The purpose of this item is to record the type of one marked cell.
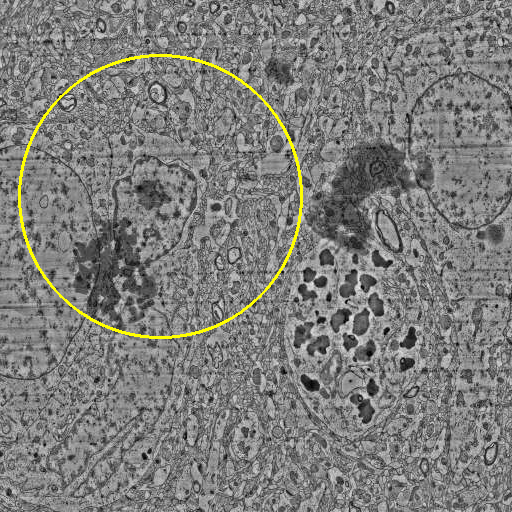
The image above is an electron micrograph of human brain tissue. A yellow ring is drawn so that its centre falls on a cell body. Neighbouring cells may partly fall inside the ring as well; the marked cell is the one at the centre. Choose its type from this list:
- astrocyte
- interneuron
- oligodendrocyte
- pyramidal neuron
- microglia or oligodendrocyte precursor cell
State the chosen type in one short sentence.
What the ring marks here is a microglial cell or oligodendrocyte precursor cell.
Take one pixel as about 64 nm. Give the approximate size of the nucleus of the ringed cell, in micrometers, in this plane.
Roughly 7 by 5 micrometres is the size of the nucleus in this plane.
